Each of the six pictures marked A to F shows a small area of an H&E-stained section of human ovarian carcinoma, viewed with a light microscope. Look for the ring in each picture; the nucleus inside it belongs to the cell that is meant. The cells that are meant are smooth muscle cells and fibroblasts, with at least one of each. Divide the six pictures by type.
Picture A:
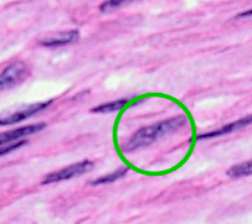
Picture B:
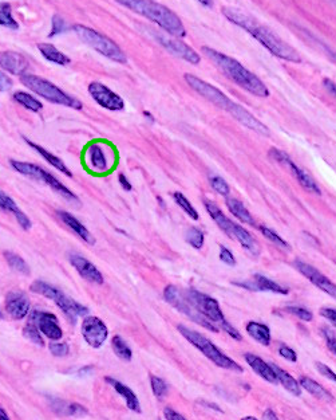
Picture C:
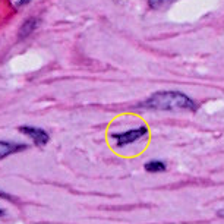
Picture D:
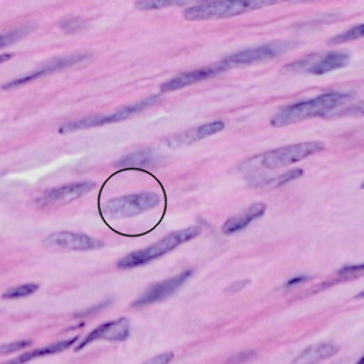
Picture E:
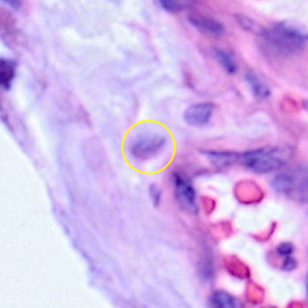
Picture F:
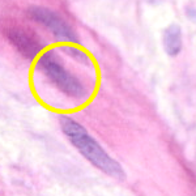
A: fibroblast
B: smooth muscle cell
C: fibroblast
D: smooth muscle cell
E: fibroblast
F: smooth muscle cell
